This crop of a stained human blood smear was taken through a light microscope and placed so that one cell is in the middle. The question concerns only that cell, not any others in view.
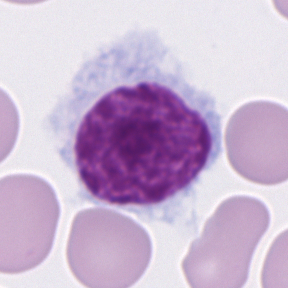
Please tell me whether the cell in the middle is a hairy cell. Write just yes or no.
yes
